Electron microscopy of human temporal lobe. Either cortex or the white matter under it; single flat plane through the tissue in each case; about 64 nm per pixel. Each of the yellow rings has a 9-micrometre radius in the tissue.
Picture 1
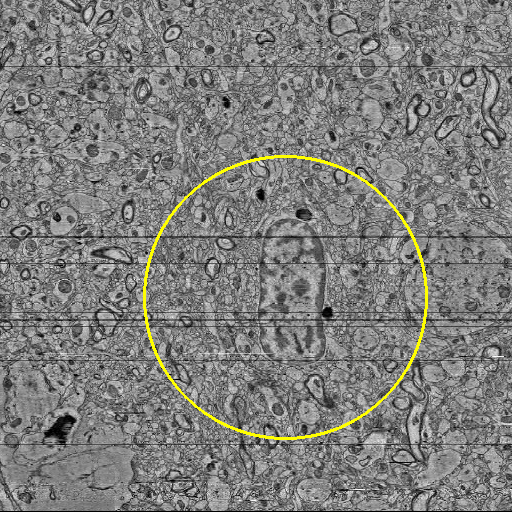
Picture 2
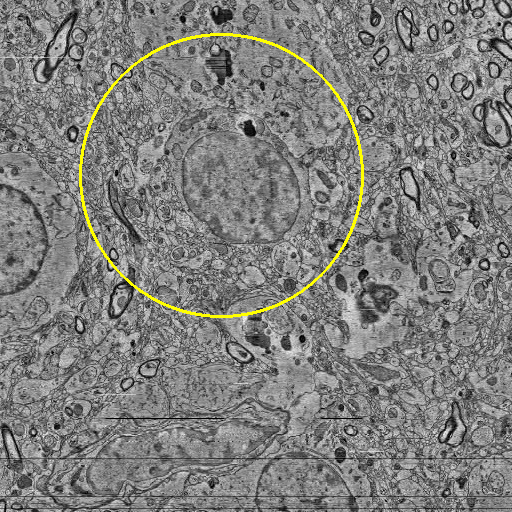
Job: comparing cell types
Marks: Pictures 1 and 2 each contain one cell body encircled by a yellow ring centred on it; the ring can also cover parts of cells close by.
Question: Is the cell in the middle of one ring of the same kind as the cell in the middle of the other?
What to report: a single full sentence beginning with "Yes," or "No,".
No, the cell at the ring centre in Picture 1 and its partner in Picture 2 are of two kinds.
